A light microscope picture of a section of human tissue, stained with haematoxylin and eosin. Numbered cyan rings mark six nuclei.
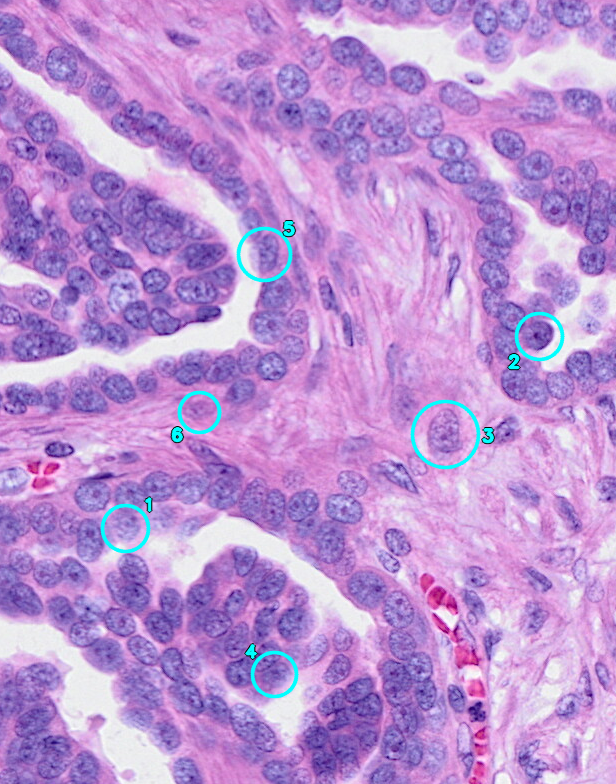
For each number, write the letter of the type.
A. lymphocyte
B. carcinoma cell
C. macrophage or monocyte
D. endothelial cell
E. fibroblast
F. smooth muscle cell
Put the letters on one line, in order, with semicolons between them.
B; B; E; B; B; E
